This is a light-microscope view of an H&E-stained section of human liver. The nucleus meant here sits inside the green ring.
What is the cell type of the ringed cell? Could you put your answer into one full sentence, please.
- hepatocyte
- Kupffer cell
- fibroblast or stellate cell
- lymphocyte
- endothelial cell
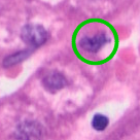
On this particular slide, the ringed cell is an endothelial cell.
